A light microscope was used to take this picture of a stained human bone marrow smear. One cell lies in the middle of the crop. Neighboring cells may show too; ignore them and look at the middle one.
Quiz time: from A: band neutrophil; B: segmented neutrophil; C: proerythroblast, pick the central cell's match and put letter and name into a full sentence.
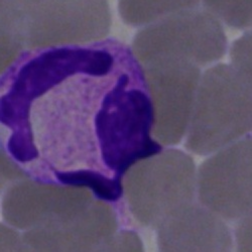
Option B correctly names the cell in the middle as a segmented neutrophil.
